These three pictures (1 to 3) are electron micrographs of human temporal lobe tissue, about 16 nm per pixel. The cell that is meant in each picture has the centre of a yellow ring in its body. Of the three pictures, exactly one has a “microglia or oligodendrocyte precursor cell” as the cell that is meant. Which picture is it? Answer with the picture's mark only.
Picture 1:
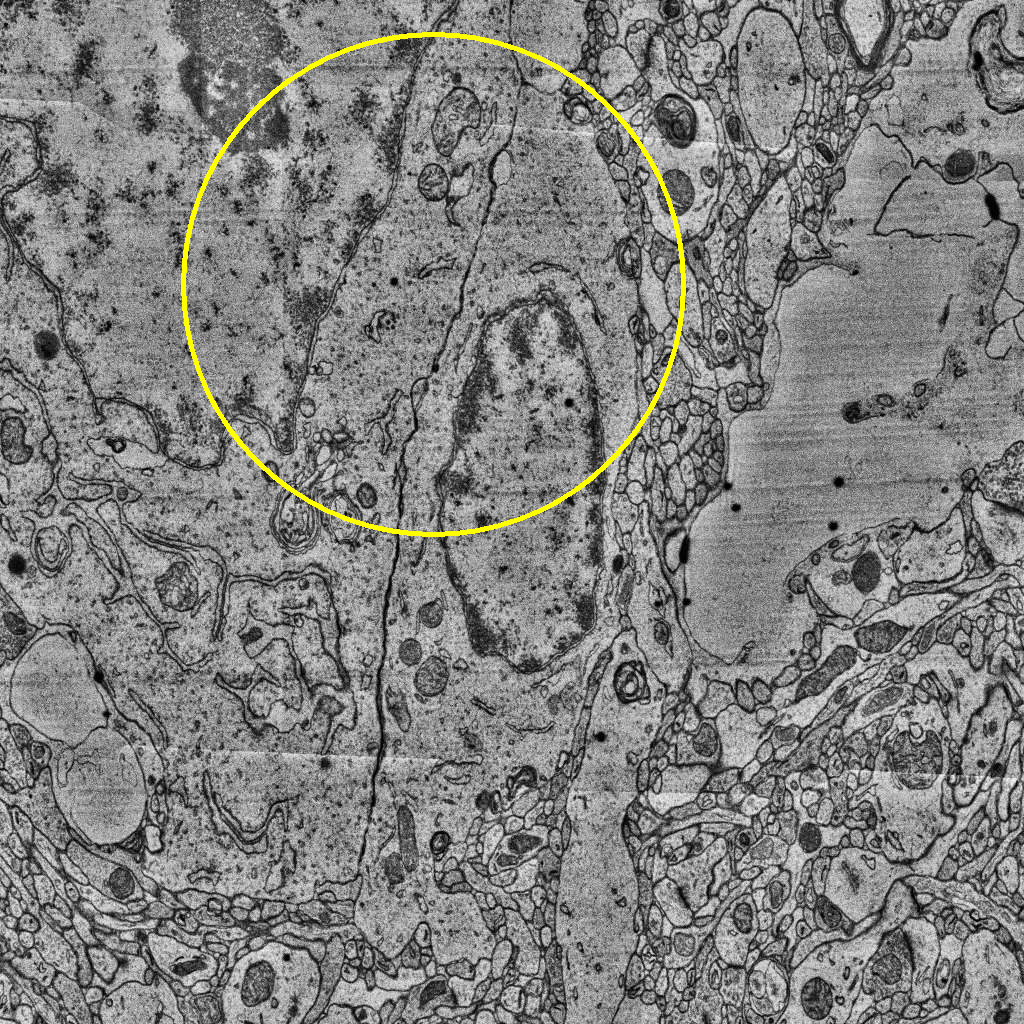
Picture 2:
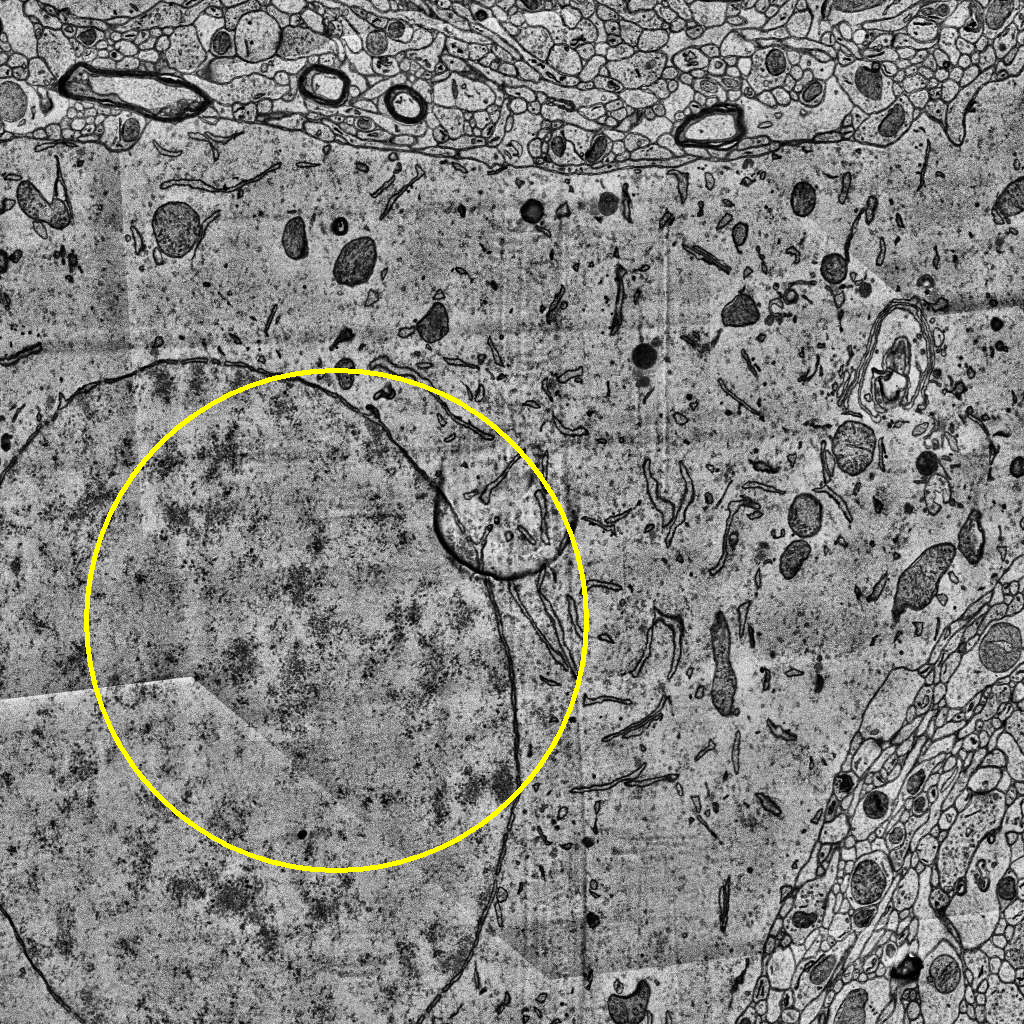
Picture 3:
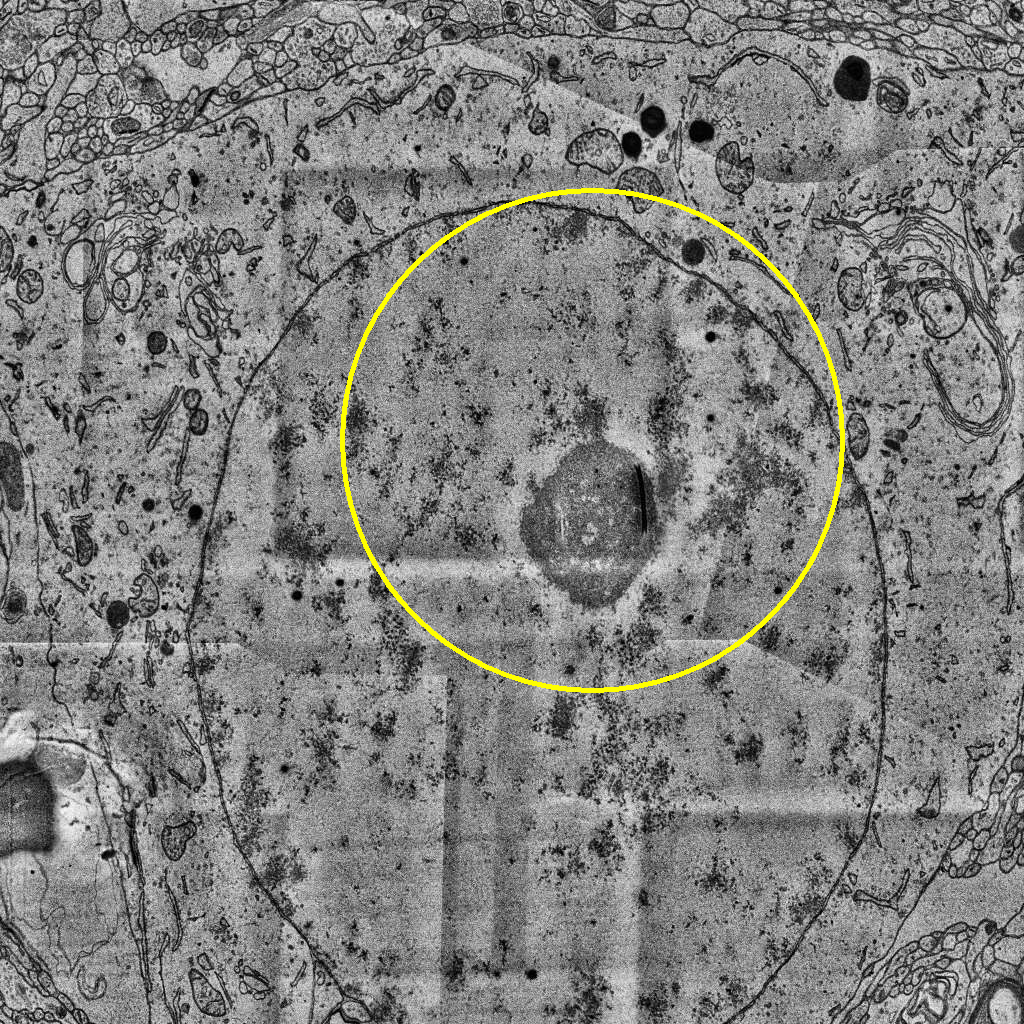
1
